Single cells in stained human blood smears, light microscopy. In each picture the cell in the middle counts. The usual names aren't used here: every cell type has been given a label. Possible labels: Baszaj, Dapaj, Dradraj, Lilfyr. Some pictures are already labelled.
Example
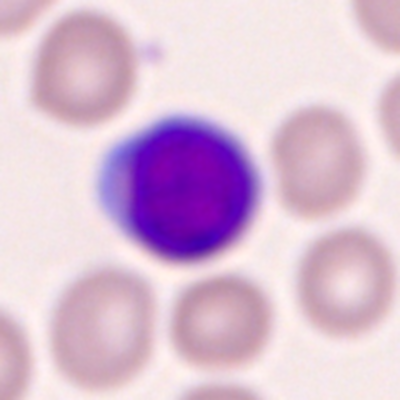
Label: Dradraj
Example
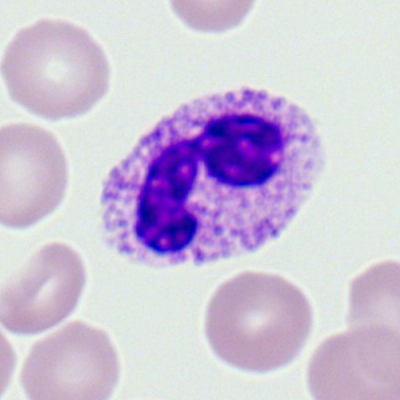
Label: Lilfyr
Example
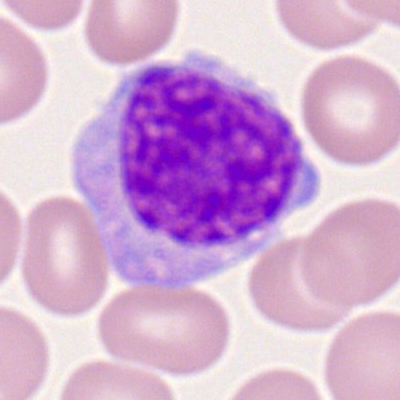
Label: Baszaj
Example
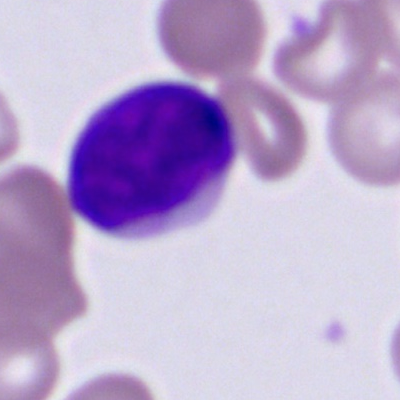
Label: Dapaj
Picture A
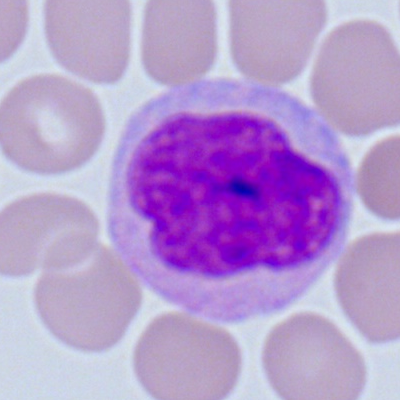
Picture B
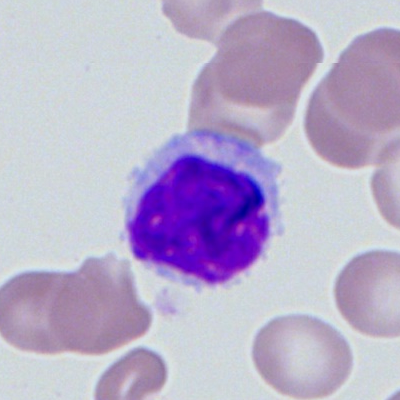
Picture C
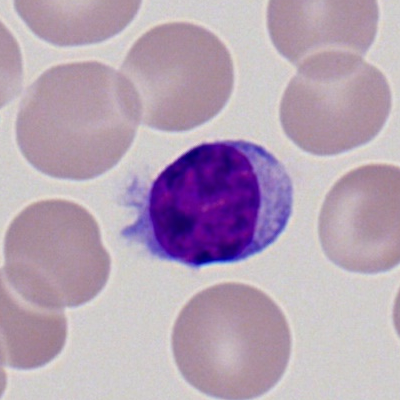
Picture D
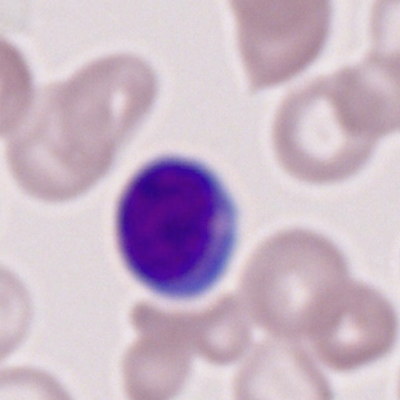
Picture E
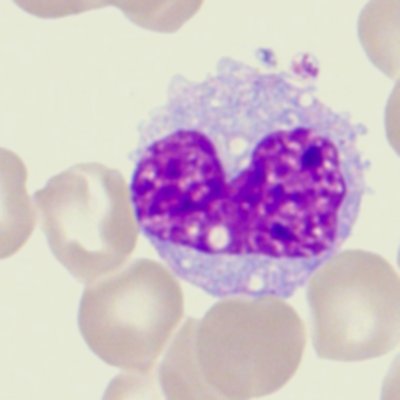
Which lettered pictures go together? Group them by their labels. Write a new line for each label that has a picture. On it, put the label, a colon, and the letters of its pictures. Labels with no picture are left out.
Baszaj: A, E
Dradraj: B, C, D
